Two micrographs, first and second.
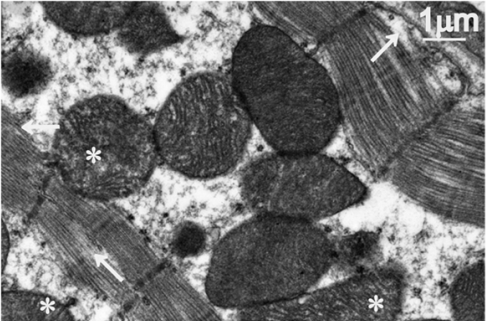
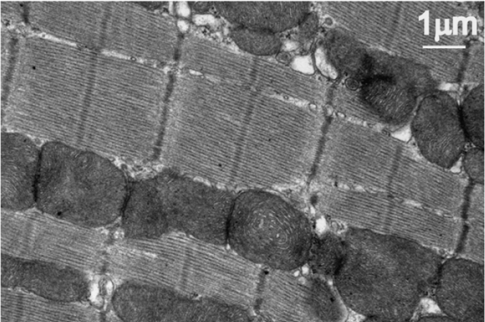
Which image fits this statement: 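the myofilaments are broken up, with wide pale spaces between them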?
The first image.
